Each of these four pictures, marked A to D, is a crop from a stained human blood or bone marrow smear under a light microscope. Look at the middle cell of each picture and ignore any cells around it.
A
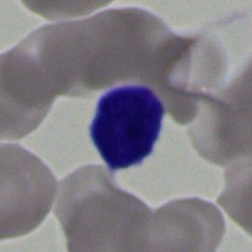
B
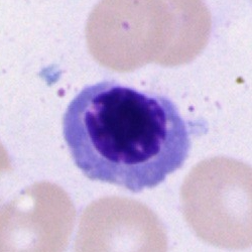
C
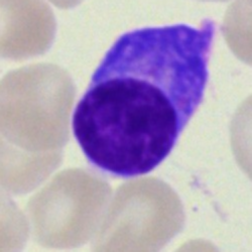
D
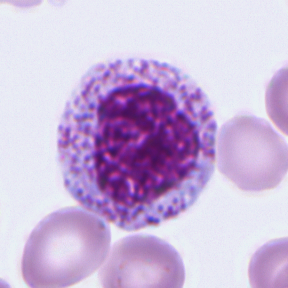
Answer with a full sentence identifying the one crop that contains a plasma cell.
Among the crops, only crop C contains a plasma cell.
